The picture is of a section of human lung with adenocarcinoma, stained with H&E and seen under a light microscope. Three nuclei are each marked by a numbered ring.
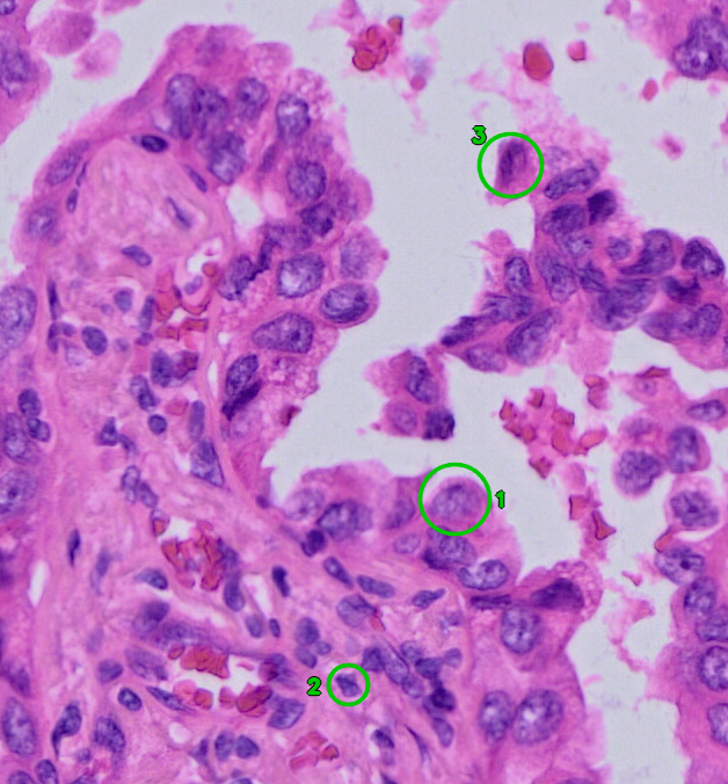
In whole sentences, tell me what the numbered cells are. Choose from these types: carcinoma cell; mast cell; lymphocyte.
Cells 1 and 3 are carcinoma cells. Cell 2 is a lymphocyte.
